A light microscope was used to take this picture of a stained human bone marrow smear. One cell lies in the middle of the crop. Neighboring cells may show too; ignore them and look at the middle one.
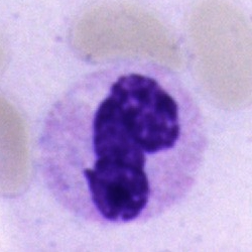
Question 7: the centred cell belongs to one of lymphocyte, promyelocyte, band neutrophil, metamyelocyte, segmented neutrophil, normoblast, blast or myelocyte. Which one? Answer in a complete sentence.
The cell at the heart of this crop is a segmented neutrophil.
